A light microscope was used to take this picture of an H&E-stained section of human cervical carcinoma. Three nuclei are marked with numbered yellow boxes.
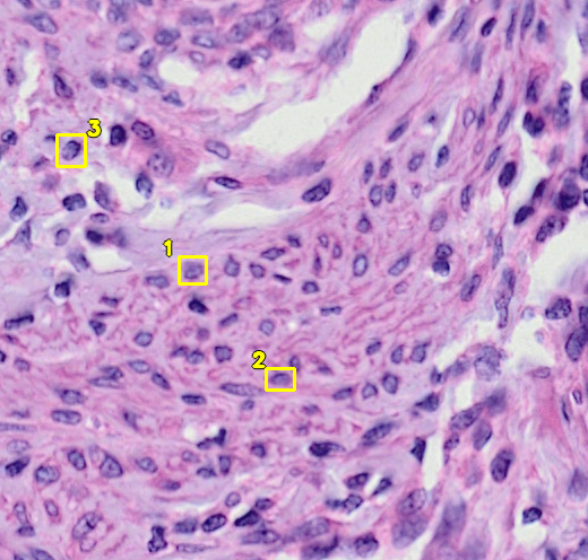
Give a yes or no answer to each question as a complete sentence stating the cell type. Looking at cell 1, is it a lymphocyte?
No, cell 1 isn't a lymphocyte; it's a smooth muscle cell.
